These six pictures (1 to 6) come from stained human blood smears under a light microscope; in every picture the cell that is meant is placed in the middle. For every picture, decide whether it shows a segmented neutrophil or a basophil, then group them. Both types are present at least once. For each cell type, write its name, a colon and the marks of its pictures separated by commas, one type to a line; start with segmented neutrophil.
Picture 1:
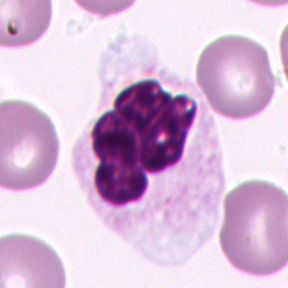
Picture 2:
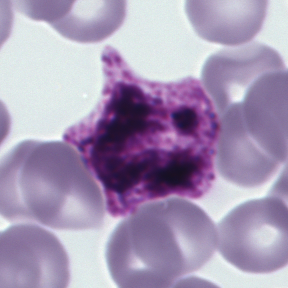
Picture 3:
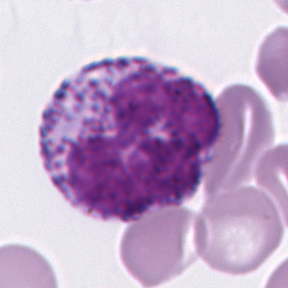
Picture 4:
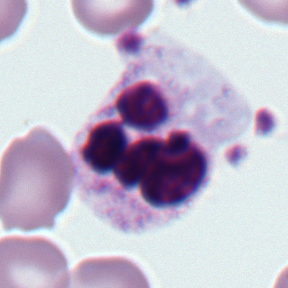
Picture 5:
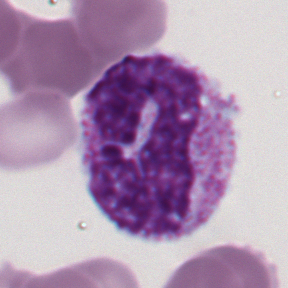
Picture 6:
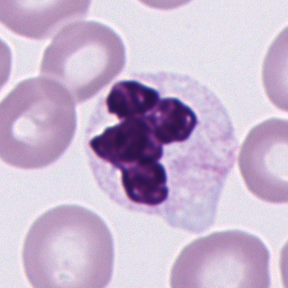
segmented neutrophil: 1, 4, 5, 6
basophil: 2, 3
